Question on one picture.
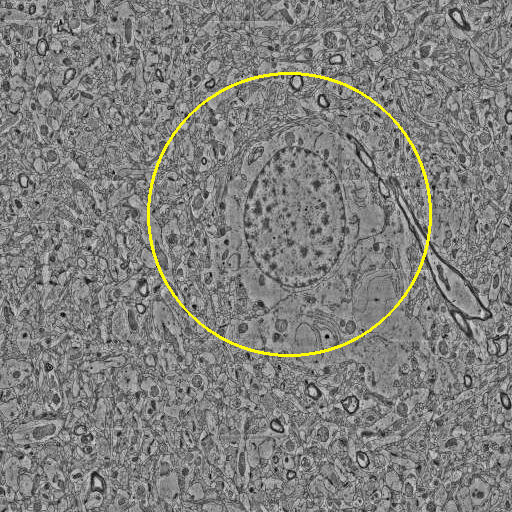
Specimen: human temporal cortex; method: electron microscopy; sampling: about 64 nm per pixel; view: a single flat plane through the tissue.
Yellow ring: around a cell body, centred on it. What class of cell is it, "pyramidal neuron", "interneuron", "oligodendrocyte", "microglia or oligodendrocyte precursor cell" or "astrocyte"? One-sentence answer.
This is an astrocyte, the cell the ring is centred on.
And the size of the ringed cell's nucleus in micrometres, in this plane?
In this plane, the nucleus of the cell at the centre of the ring measures about 9 by 6 micrometres.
